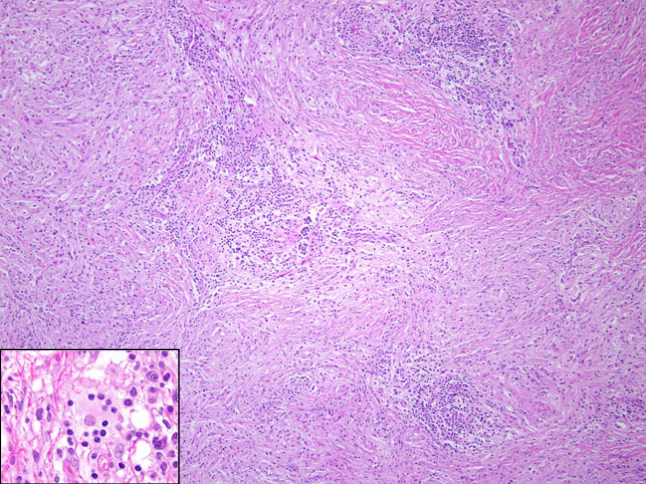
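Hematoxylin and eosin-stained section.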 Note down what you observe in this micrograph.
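This section shows two cell populations: pale pink sheets of polygonal to spindled histiocytes, and scattered dark-blue lymphoid aggregates. The histiocytes have abundant pale pink cytoplasm and oval nuclei, and they are arranged in streaming, whorled bundles across most of the field. The lymphoid aggregates are dense clusters of small, round, dark nuclei with little visible cytoplasm, lying between the pale areas. In the framed inset at lower left, a large pale histiocyte holds several small, dark, round lymphocytes within its cytoplasm.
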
